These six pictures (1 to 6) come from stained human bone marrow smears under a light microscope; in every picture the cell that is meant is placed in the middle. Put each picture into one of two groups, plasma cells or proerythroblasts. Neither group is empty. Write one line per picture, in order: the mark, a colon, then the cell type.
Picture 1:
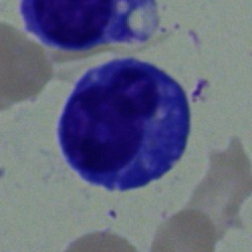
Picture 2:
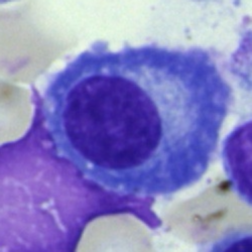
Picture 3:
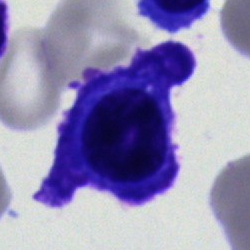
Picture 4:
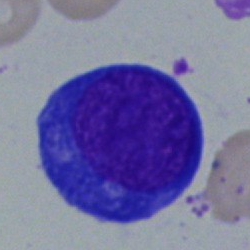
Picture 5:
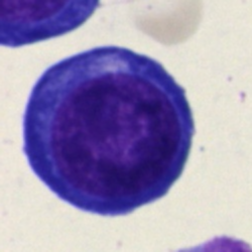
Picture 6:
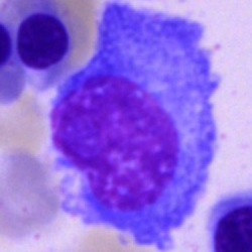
1: plasma cell
2: plasma cell
3: plasma cell
4: proerythroblast
5: proerythroblast
6: plasma cell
